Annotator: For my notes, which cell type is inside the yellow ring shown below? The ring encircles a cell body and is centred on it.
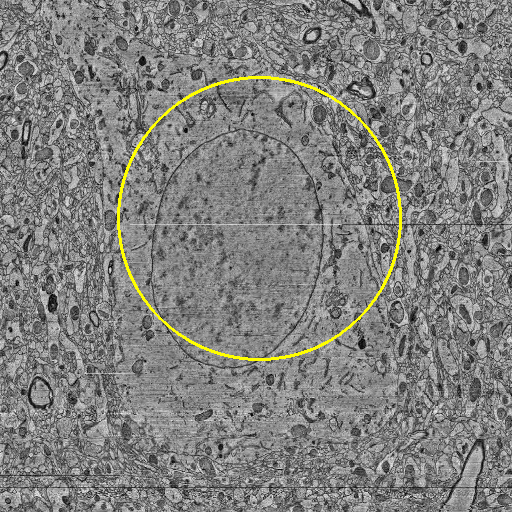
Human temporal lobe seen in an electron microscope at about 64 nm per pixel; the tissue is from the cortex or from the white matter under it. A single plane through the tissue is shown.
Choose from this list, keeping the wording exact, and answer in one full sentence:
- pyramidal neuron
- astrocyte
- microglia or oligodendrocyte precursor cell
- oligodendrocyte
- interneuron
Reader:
At the centre of the yellow ring there is a pyramidal neuron, as shown in the picture.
